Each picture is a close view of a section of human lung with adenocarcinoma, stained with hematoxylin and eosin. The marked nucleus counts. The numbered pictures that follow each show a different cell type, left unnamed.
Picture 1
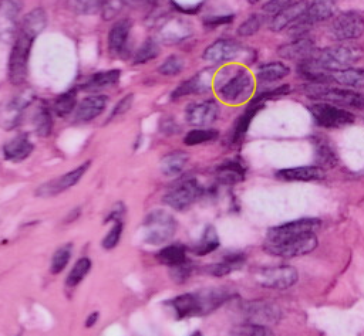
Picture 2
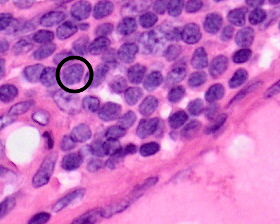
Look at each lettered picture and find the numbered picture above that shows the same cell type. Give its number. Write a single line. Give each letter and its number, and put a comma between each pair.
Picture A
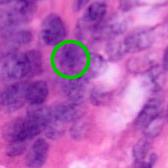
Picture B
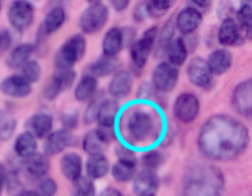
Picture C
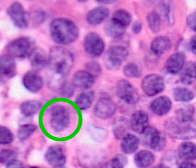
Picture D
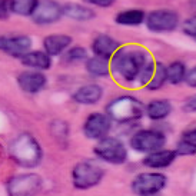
A 1, B 2, C 2, D 2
